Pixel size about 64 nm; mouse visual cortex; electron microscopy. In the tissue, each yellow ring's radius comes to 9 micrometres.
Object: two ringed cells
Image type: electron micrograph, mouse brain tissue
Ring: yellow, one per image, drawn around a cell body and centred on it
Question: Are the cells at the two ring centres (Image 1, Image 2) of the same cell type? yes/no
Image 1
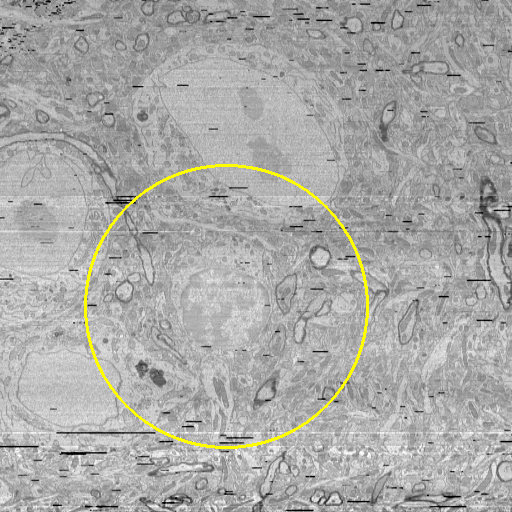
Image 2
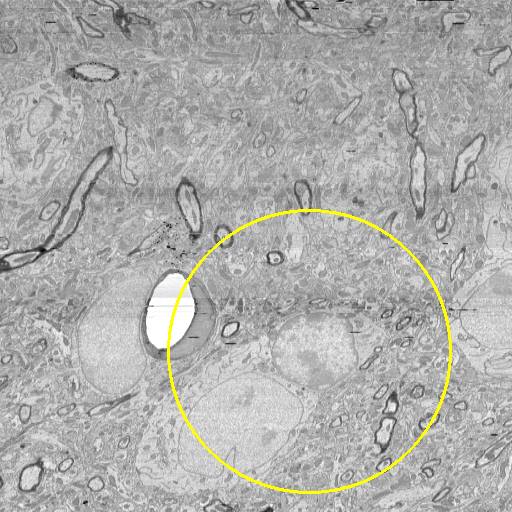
yes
